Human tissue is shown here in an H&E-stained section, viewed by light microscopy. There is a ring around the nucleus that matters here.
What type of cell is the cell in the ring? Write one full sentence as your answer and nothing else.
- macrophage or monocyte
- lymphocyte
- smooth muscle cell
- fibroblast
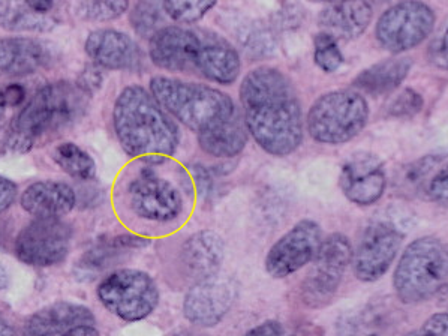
Considered by cell type, the cell in the ring is a macrophage or monocyte.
